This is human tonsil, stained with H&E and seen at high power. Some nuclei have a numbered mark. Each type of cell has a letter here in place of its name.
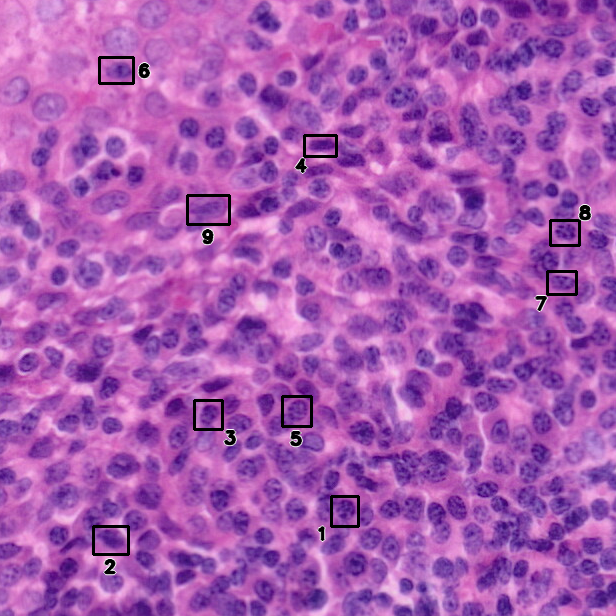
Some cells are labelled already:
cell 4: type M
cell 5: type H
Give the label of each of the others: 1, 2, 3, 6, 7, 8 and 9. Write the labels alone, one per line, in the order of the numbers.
type H
type M
type H
type M
type H
type H
type M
